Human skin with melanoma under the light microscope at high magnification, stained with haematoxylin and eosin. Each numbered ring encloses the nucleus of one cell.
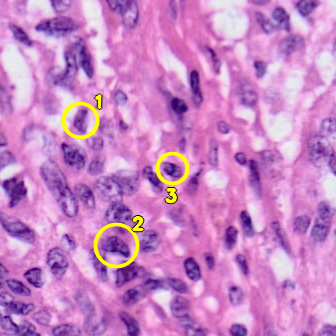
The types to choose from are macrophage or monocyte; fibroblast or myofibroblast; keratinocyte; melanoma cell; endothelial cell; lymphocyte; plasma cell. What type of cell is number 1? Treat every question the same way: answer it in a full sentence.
Cell number 1 in this section is a melanoma cell.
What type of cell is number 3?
The cell marked with the number 3 is a lymphocyte.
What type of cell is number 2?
The expected answer is that cell 2 is a melanoma cell.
